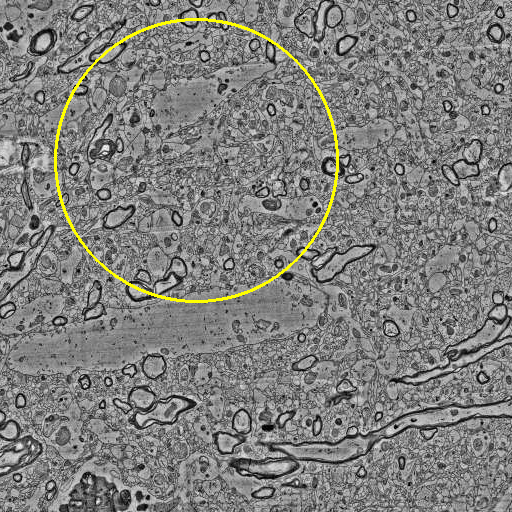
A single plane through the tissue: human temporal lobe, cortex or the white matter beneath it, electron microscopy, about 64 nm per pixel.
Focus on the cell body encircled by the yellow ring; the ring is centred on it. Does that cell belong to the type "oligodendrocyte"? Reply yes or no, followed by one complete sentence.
Yes, that type fits the cell lying at the centre of the ring in the picture.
